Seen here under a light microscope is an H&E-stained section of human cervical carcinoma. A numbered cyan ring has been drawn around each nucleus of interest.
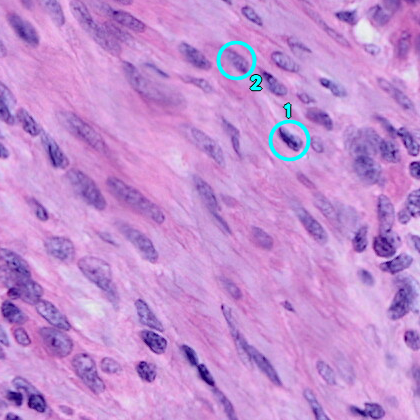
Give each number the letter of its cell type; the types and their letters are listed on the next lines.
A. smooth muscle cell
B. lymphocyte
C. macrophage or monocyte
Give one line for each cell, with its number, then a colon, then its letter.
1: B
2: A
